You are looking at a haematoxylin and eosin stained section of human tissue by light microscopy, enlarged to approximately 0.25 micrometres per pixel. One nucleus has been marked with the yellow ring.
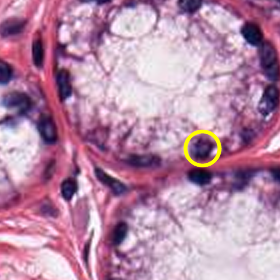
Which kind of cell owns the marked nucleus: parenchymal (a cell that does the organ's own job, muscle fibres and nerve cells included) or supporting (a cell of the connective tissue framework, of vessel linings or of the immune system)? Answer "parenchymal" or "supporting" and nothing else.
parenchymal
